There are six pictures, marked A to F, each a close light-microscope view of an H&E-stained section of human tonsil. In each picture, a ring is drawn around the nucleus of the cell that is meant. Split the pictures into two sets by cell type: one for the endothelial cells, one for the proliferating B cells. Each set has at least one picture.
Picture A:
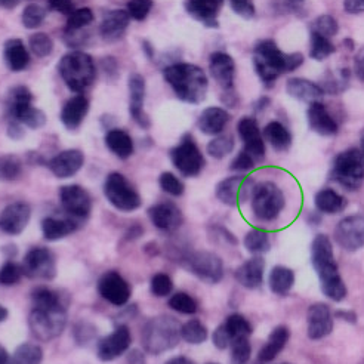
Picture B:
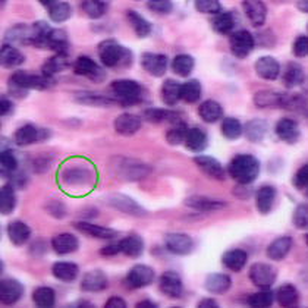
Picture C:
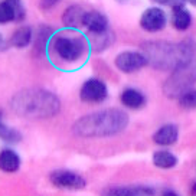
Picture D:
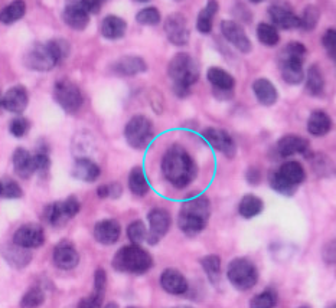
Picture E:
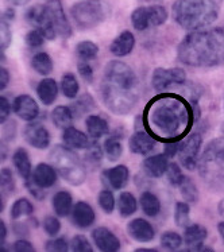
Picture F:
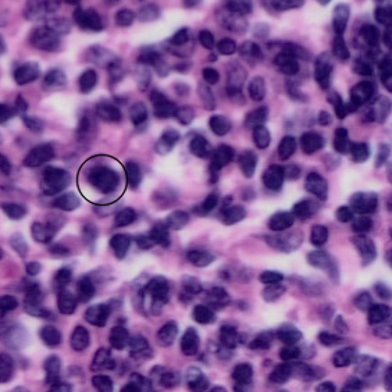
A: proliferating B cell
B: endothelial cell
C: endothelial cell
D: proliferating B cell
E: proliferating B cell
F: proliferating B cell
